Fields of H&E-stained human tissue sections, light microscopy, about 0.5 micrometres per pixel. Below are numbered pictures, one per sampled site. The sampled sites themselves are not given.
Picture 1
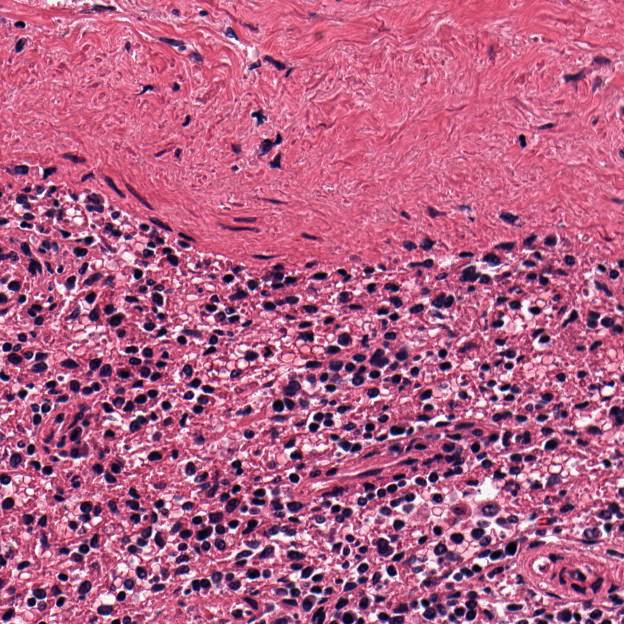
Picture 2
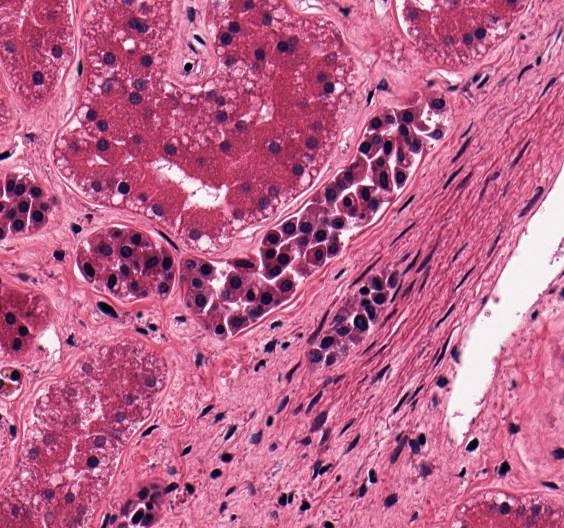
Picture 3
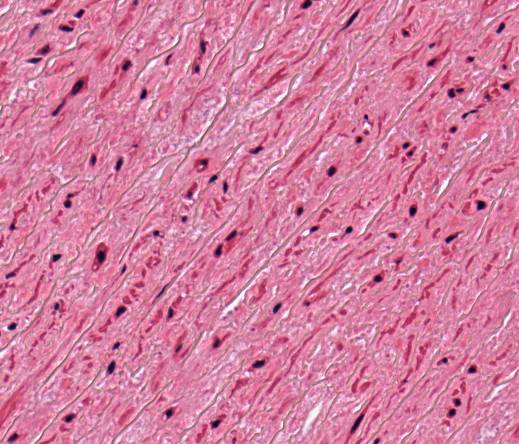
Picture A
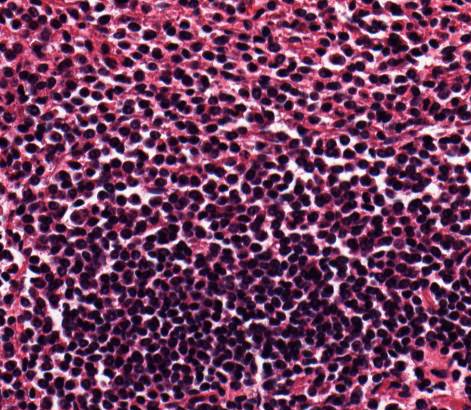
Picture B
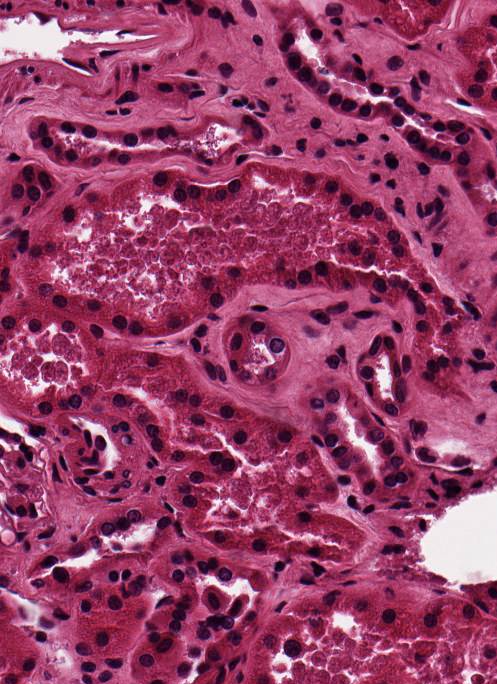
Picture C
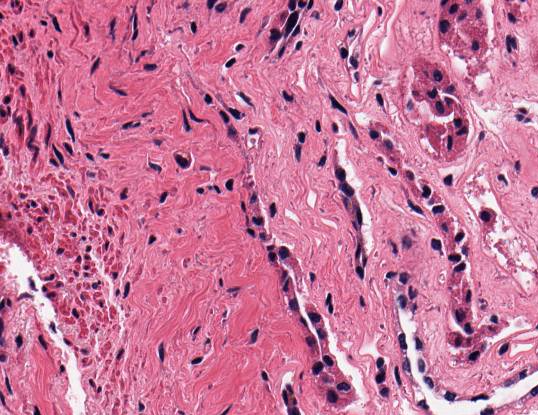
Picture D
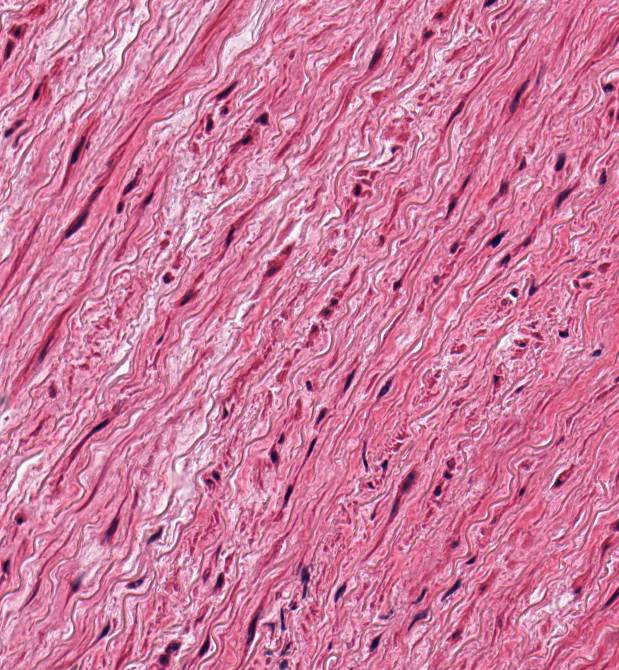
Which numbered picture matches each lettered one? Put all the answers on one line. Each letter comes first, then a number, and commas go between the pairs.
A 1, B 2, C 2, D 3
